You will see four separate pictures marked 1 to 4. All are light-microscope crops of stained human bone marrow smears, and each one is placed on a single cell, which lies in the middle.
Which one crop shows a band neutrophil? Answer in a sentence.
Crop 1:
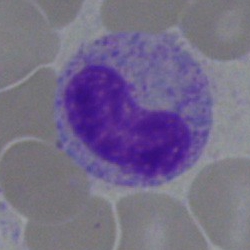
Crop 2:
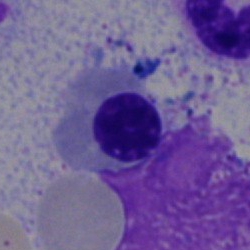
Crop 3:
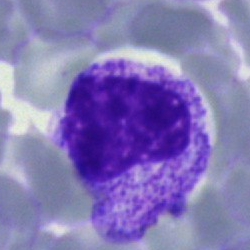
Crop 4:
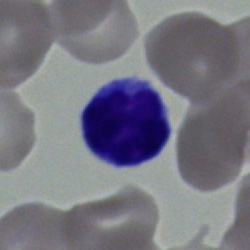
The one that shows a band neutrophil is crop 1.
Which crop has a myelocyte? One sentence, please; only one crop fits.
Among these crops, crop 3 holds a myelocyte.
